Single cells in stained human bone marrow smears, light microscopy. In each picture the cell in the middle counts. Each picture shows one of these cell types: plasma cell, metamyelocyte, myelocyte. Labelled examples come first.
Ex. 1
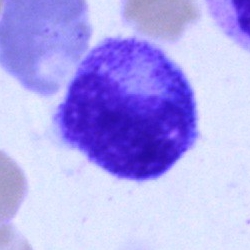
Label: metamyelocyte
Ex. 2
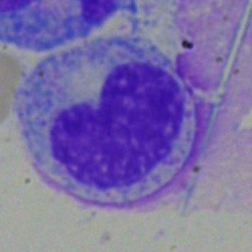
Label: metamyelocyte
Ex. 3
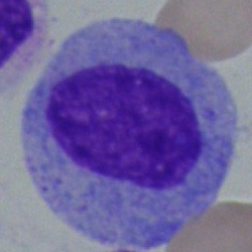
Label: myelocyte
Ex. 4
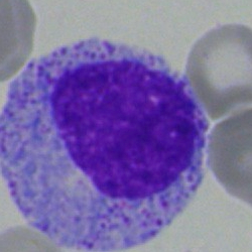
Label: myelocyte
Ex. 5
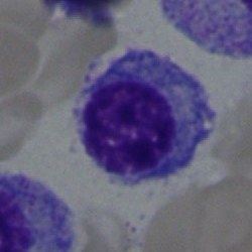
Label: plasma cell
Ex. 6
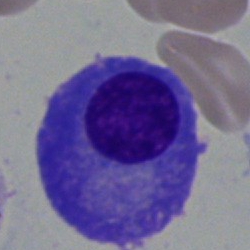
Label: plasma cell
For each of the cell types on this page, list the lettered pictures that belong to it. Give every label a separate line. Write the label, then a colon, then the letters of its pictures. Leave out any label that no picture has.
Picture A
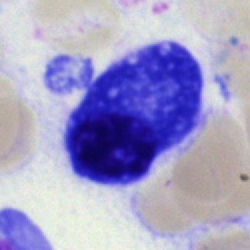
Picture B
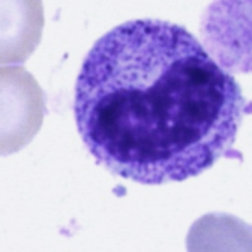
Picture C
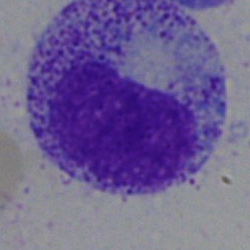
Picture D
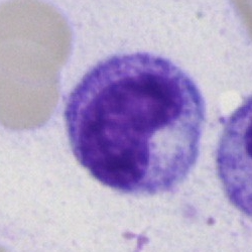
plasma cell: A
metamyelocyte: B, D
myelocyte: C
